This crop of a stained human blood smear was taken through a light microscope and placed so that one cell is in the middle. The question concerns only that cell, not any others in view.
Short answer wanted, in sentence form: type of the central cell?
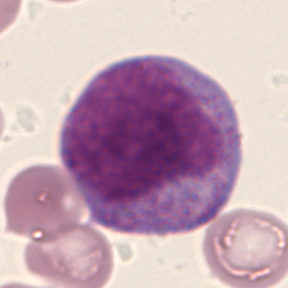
Answering briefly, the cell in the middle is a promyelocyte.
